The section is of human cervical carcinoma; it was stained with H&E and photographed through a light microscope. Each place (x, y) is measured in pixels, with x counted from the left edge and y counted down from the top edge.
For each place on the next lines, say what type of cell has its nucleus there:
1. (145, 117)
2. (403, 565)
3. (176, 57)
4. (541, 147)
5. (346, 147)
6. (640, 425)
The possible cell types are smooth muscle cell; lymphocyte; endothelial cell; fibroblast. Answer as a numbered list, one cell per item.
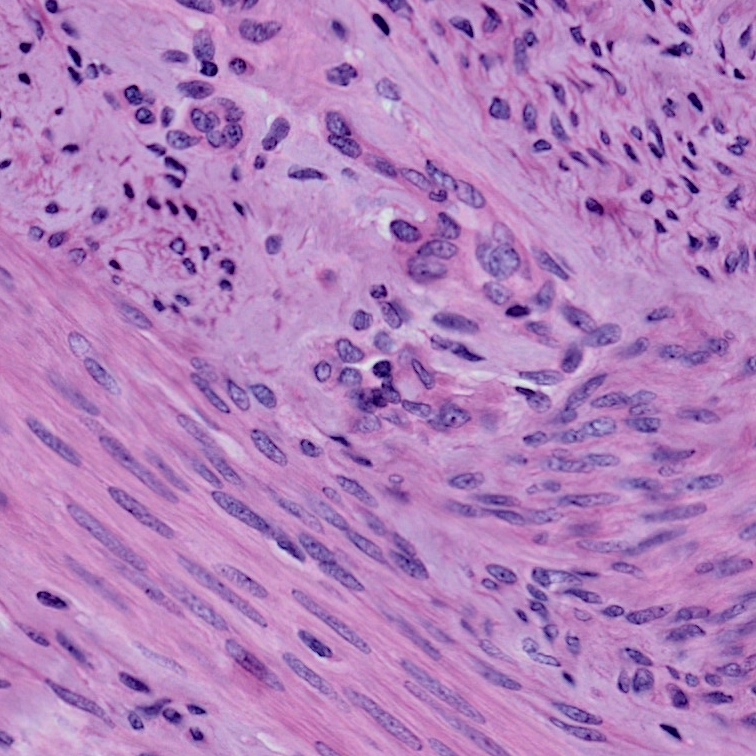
1. endothelial cell
2. smooth muscle cell
3. fibroblast
4. smooth muscle cell
5. endothelial cell
6. smooth muscle cell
